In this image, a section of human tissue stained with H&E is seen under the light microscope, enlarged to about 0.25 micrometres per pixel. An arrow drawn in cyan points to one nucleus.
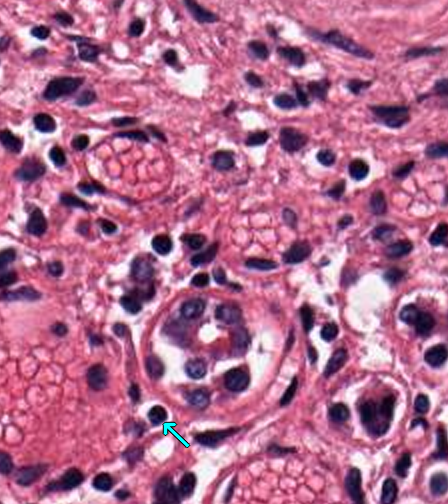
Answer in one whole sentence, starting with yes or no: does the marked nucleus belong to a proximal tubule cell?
No, the cell that carries the marked nucleus is a supporting cell, not a proximal tubule cell.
